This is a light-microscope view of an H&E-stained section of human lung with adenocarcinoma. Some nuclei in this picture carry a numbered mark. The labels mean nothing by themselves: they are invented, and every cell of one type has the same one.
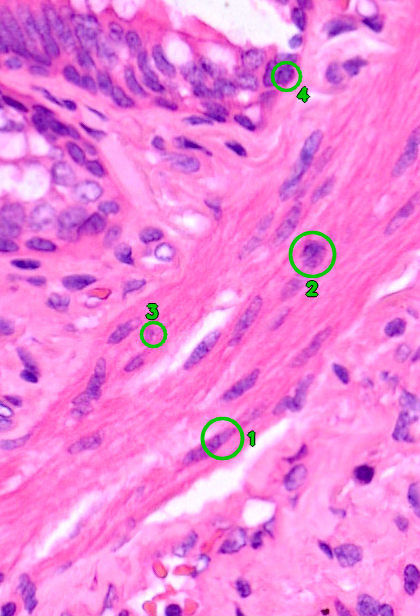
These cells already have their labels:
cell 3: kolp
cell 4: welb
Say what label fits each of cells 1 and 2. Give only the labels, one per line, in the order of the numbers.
kolp
kolp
